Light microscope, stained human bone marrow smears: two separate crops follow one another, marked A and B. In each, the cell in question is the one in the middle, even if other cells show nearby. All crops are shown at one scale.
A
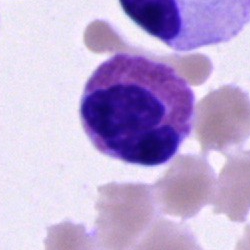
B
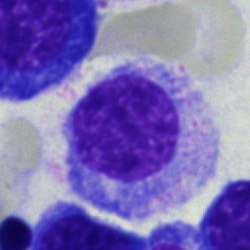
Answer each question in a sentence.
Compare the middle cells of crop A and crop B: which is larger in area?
It is the cell in crop B, about 2 times as large in area as the cell in crop A.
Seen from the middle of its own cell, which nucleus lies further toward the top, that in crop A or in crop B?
The nucleus in crop B lies further toward the top of its cell.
